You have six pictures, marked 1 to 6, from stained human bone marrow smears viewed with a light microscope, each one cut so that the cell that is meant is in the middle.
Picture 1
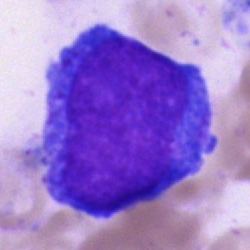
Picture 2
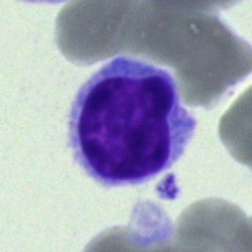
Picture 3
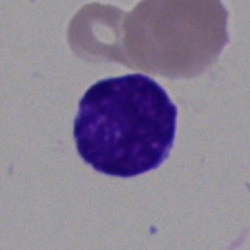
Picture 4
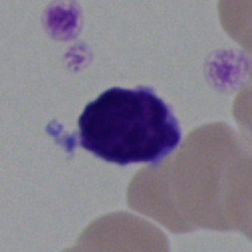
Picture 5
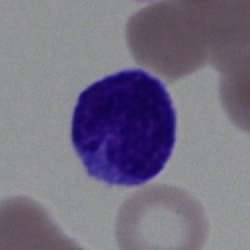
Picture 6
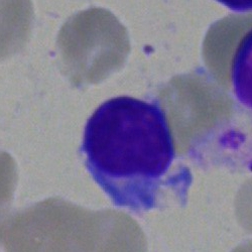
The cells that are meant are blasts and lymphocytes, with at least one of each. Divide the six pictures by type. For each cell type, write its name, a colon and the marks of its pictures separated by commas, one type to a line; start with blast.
blast: 1, 3
lymphocyte: 2, 4, 5, 6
